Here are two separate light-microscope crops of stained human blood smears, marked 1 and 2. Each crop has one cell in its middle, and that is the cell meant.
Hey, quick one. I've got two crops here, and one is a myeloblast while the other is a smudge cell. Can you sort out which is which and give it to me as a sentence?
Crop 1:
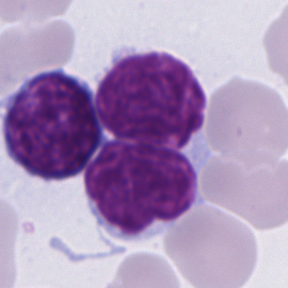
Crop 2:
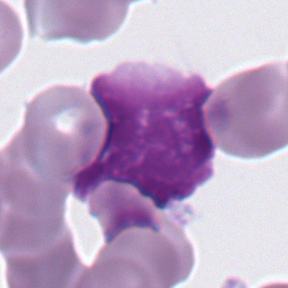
The cell in crop 1 is a myeloblast, and the one in crop 2 is a smudge cell.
